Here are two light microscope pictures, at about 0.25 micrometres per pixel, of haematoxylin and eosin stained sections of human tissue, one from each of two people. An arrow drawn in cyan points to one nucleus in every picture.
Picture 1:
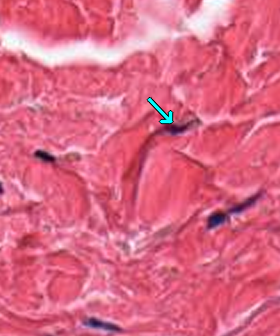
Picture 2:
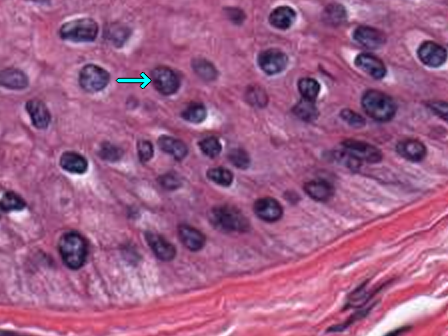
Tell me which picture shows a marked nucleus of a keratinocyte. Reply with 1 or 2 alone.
2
